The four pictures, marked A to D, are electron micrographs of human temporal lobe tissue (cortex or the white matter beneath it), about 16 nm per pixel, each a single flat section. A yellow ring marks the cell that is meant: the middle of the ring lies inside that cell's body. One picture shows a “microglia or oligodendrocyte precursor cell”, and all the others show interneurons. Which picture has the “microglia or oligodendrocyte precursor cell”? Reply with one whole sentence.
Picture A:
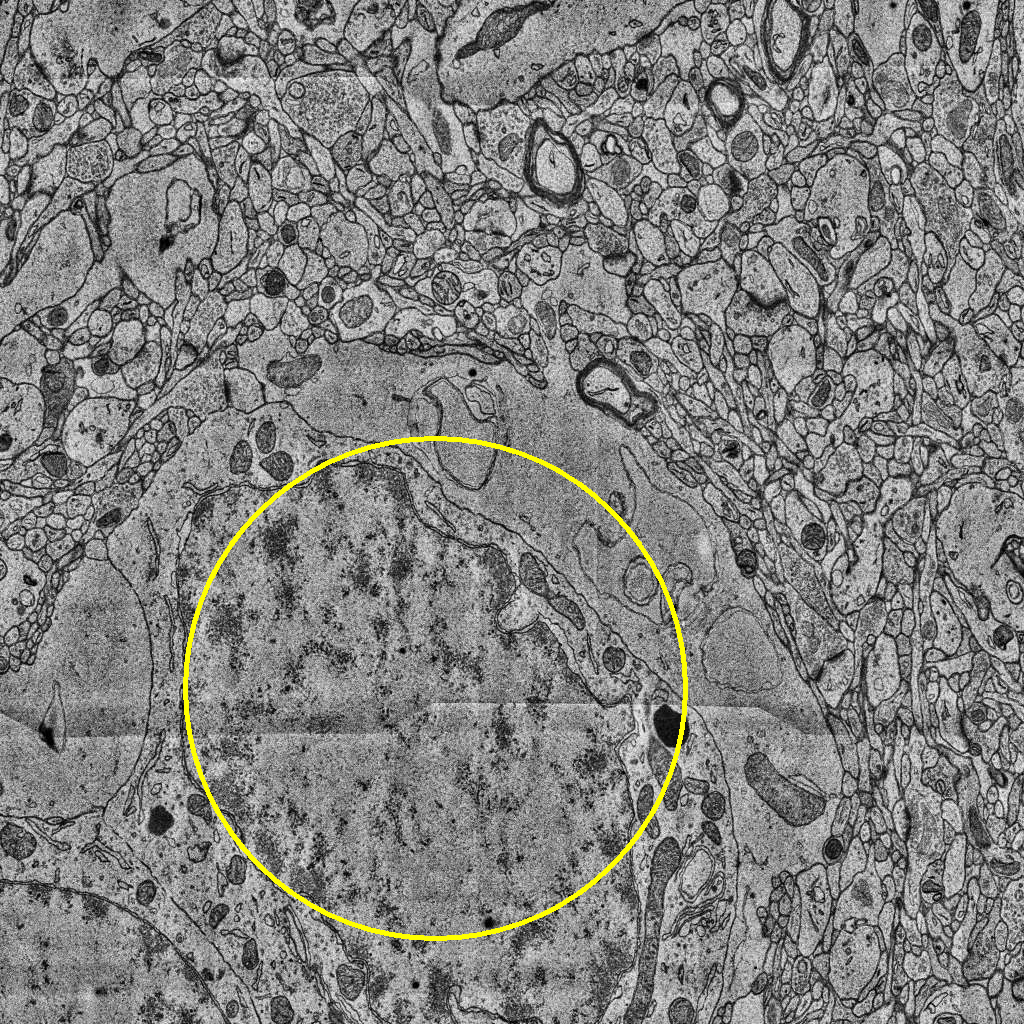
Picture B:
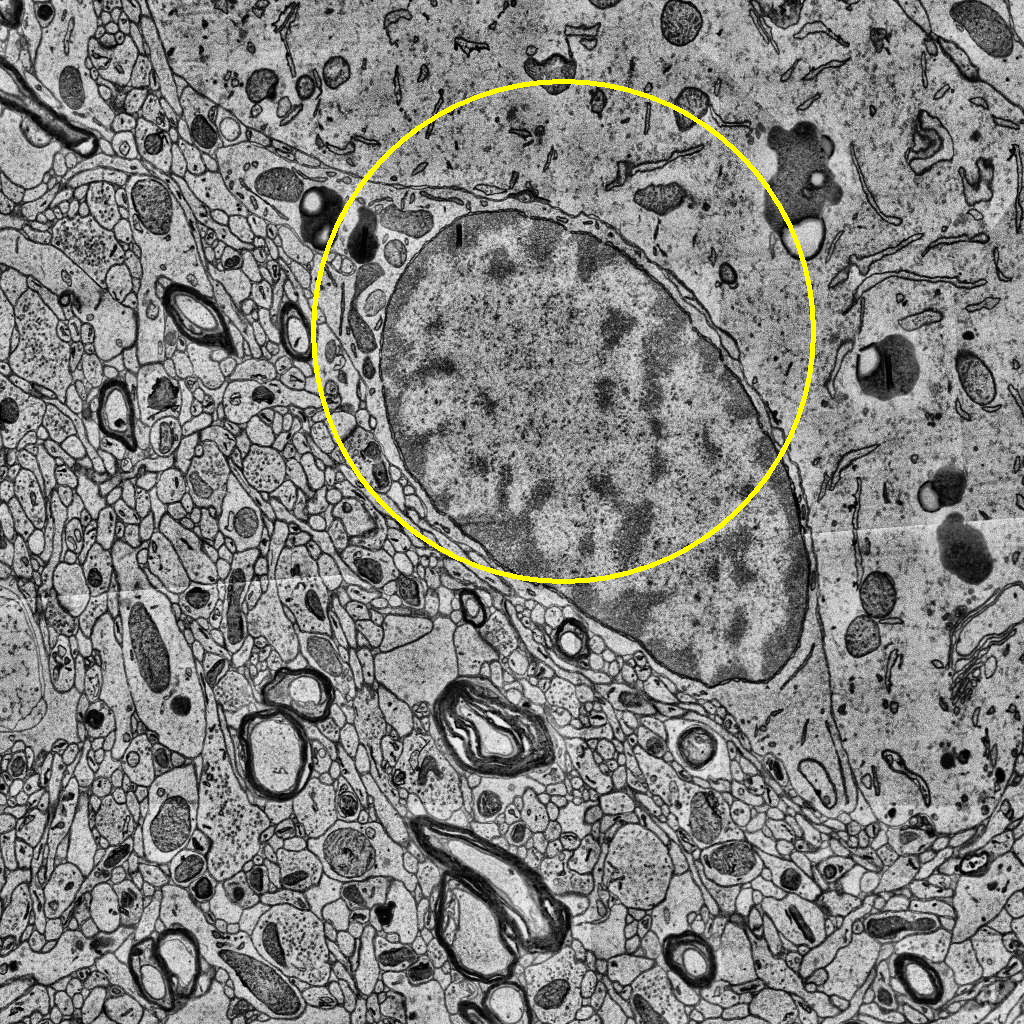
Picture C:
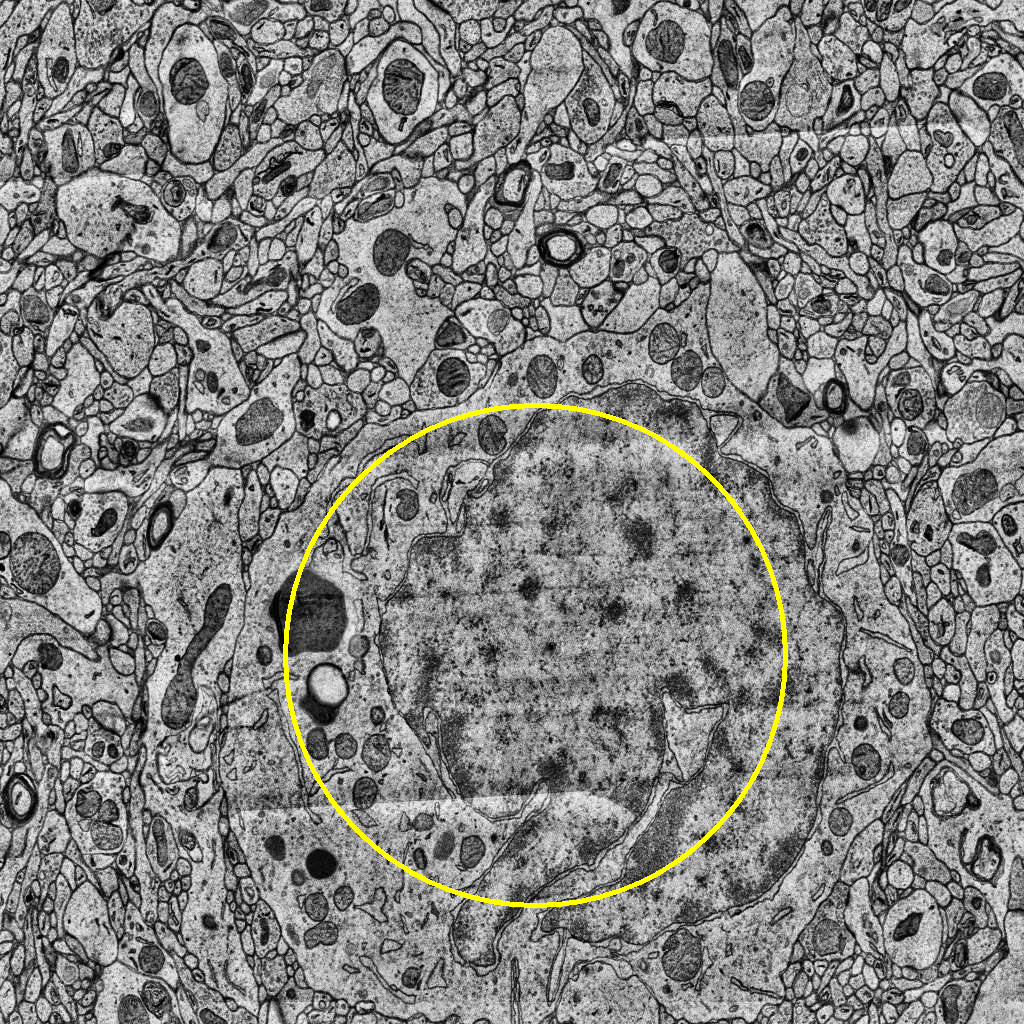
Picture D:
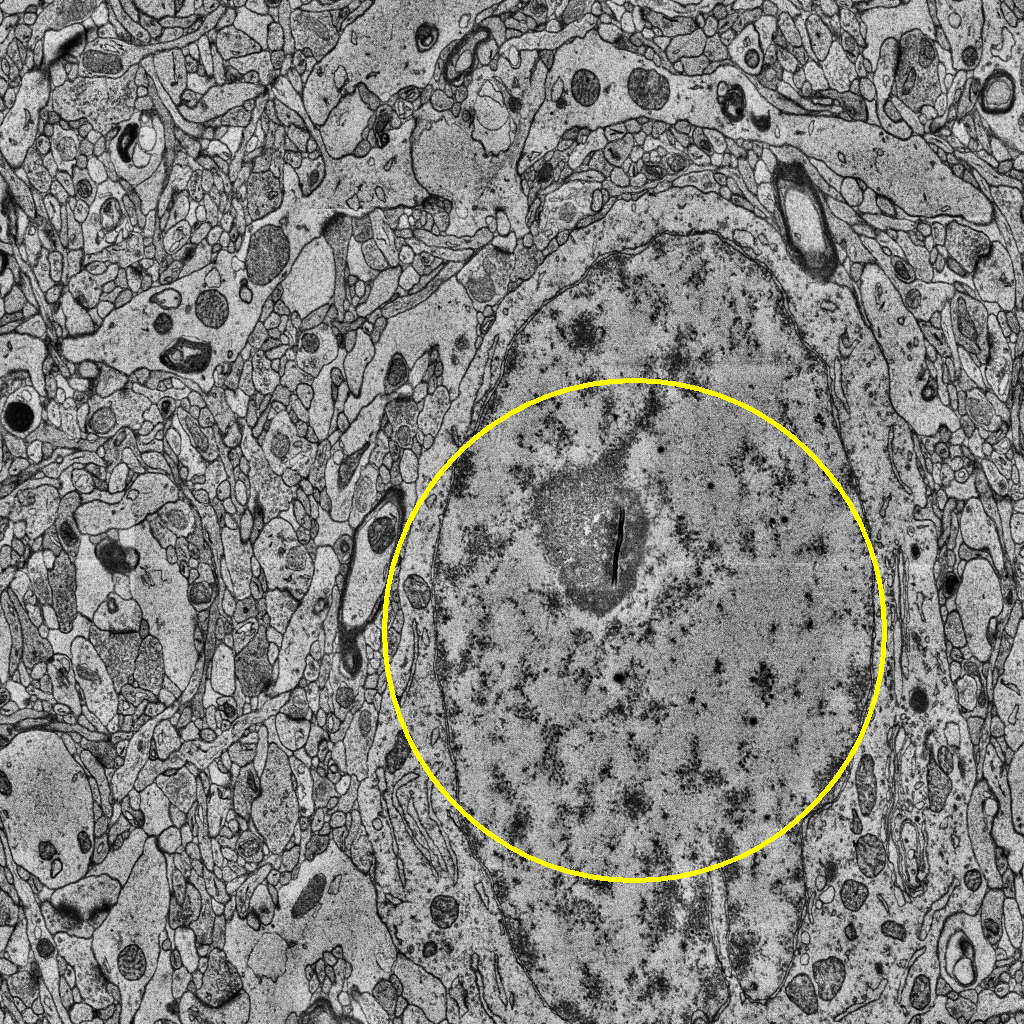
Picture B shows the “microglia or oligodendrocyte precursor cell”.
